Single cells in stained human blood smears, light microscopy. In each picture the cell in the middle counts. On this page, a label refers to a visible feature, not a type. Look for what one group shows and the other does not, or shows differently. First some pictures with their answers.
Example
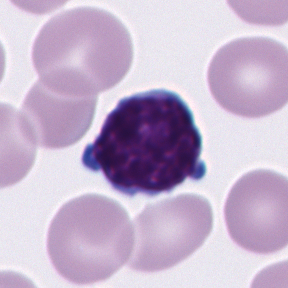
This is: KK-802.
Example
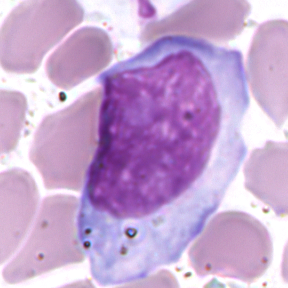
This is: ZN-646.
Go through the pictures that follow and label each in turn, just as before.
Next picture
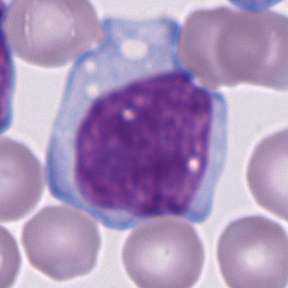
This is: ZN-646.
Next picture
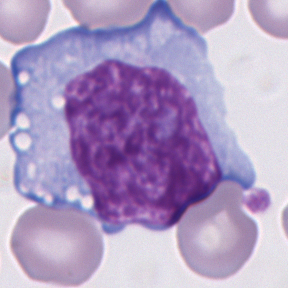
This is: ZN-646.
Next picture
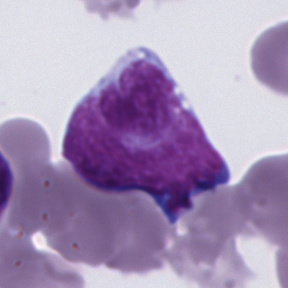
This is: KK-802.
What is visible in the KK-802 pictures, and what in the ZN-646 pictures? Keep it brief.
KK-802: scant cytoplasm; ZN-646: abundant cytoplasm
